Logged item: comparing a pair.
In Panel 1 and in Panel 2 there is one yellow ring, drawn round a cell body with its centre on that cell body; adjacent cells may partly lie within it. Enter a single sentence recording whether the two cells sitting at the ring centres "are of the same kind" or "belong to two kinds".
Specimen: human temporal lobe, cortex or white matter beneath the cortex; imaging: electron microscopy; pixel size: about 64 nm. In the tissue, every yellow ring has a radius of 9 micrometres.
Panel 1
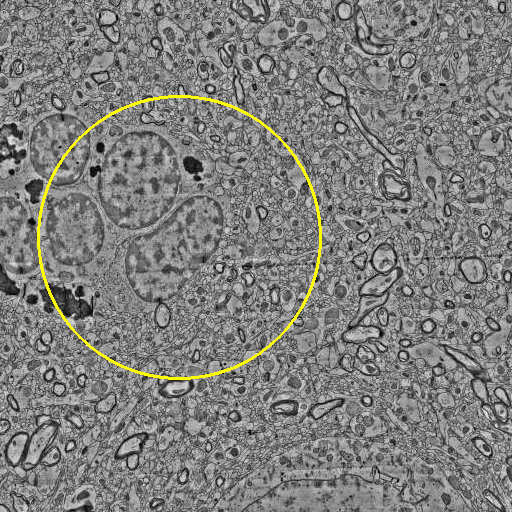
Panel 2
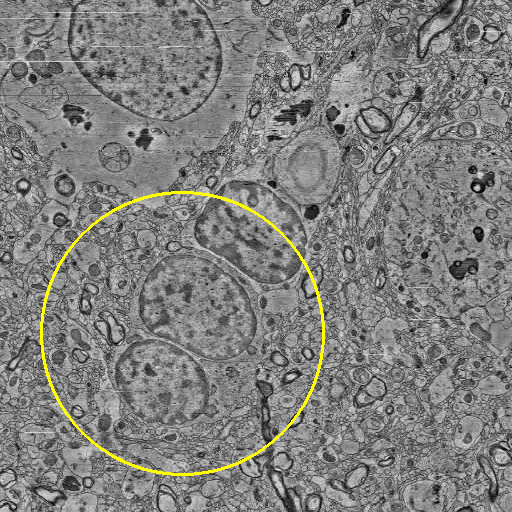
Logged: the cells centred in the rings of Panel 1 and Panel 2 are of the same kind.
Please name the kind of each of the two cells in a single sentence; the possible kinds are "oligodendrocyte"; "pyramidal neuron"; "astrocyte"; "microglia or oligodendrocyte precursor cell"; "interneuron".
Each of the two cells is an oligodendrocyte.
